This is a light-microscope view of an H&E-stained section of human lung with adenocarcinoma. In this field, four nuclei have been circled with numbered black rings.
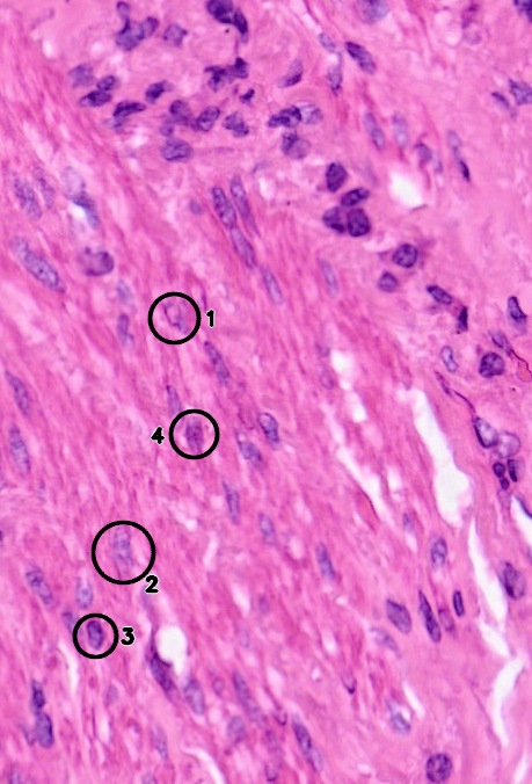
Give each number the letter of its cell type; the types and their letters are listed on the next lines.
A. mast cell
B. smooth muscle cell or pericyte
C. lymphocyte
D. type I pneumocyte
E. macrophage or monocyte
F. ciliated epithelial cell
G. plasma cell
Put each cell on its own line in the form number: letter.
1: B
2: B
3: A
4: B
